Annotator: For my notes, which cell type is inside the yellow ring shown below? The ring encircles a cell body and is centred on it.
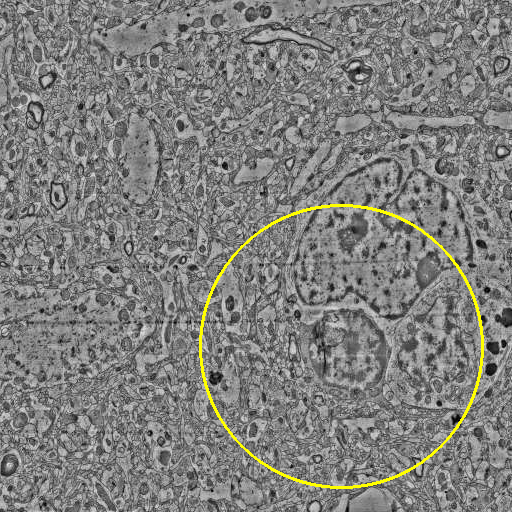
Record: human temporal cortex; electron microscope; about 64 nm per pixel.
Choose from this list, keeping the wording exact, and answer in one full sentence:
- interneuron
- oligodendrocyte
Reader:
At the centre of the yellow ring there is an oligodendrocyte, as shown in the picture.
